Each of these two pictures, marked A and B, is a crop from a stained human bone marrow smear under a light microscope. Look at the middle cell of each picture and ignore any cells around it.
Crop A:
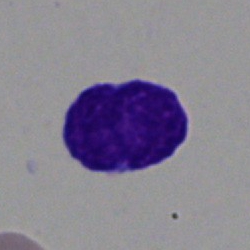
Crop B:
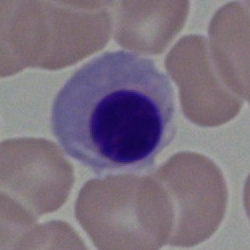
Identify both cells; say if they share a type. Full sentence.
No, crop A has a blast at its center, and crop B has an erythroblast.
